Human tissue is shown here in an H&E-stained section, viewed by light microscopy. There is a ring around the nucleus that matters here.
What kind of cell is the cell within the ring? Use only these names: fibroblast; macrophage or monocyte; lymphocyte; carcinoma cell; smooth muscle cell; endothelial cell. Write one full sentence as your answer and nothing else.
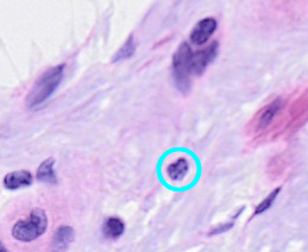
For cell typing purposes, the cell within the ring is a lymphocyte.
